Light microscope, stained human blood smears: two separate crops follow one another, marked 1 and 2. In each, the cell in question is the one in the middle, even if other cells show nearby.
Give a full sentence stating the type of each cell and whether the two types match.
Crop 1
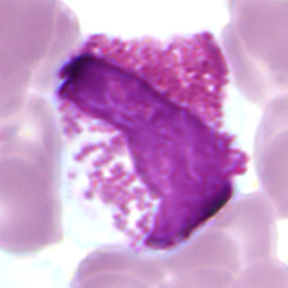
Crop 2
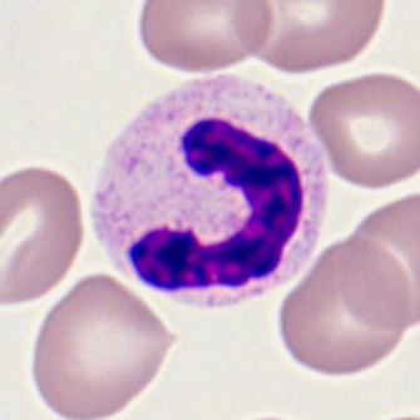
No, the cell in crop 1 is an eosinophil, and the cell in crop 2 is a band neutrophil.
